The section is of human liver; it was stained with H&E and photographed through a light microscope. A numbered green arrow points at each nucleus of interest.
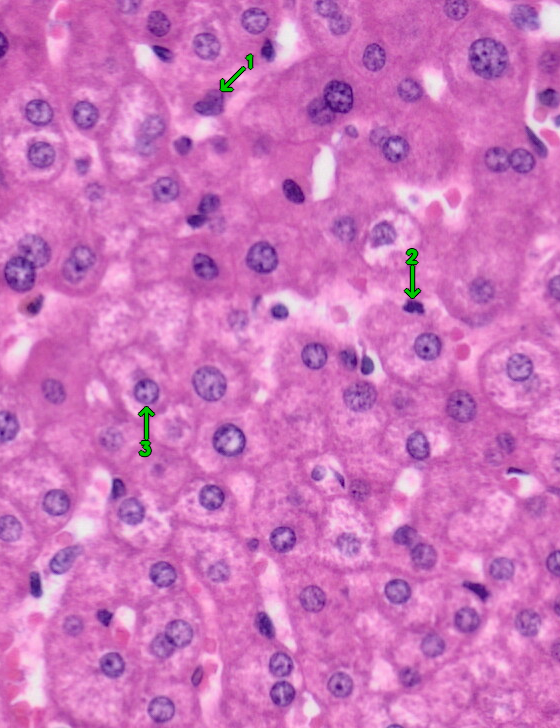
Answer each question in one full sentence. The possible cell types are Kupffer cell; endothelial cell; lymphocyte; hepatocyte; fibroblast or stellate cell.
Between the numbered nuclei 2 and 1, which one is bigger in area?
Nucleus 1 is larger, with an area about 2.5 times that of nucleus 2.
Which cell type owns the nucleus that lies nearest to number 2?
Number 2 lies closest to the nucleus of a hepatocyte.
